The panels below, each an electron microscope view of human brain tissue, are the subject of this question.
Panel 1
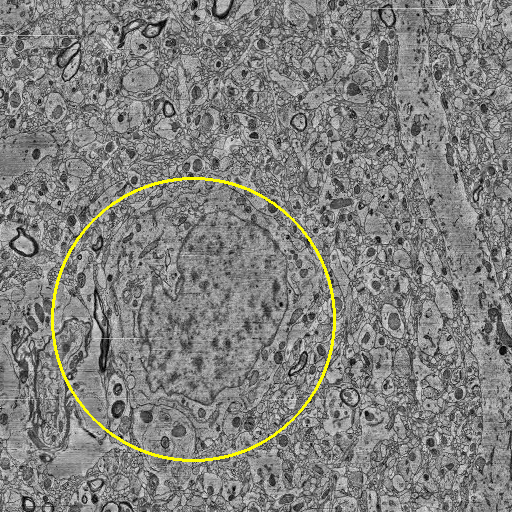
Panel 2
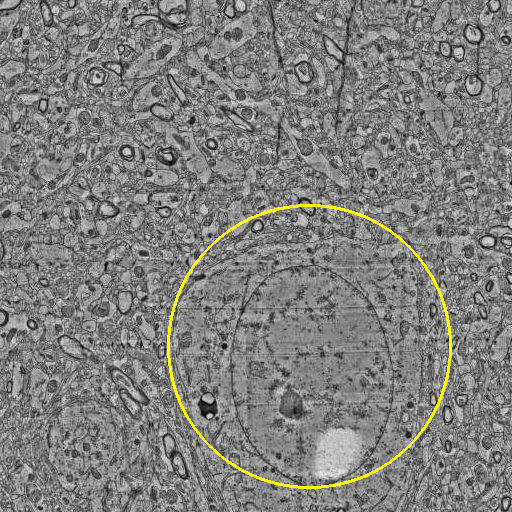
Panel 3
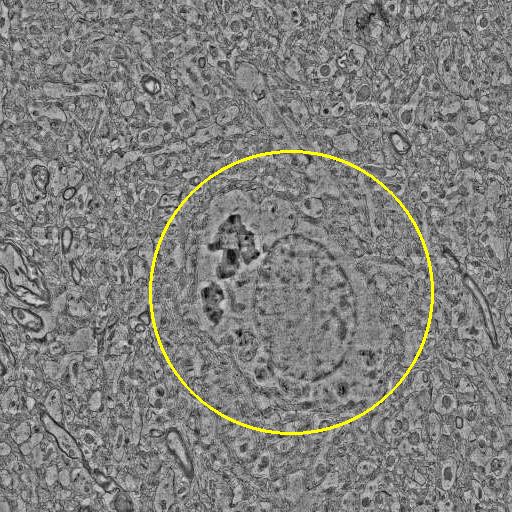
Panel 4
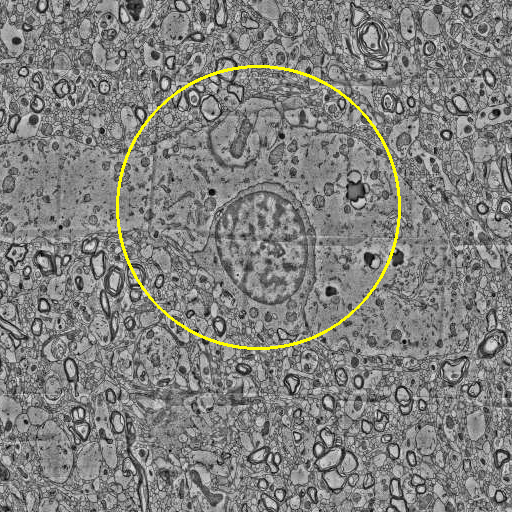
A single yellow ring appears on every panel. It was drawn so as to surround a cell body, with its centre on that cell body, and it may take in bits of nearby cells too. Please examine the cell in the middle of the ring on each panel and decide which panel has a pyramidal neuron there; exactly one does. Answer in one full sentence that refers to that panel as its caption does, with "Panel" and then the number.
Panel 2 is where the ring's central cell answers the question.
